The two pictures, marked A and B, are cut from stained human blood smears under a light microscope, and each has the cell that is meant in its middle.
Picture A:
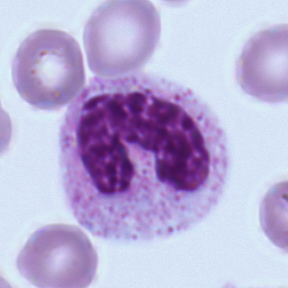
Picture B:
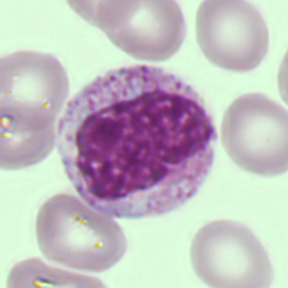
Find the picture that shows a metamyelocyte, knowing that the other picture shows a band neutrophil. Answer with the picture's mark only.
B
